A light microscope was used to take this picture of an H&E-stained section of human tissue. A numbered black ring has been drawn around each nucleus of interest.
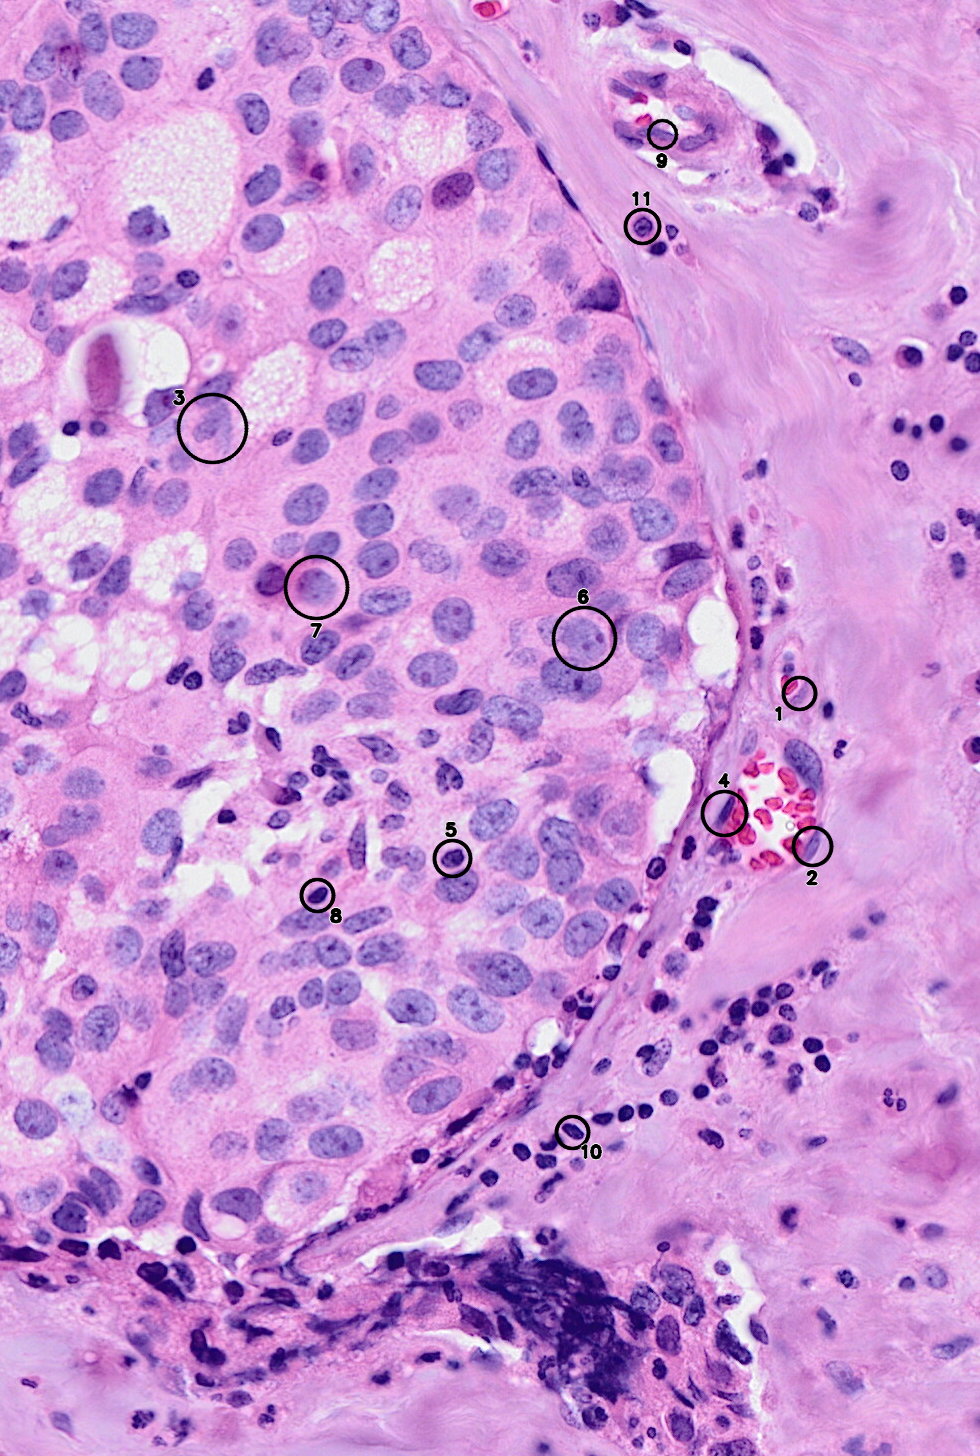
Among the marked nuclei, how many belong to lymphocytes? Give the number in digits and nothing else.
3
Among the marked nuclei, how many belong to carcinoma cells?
3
